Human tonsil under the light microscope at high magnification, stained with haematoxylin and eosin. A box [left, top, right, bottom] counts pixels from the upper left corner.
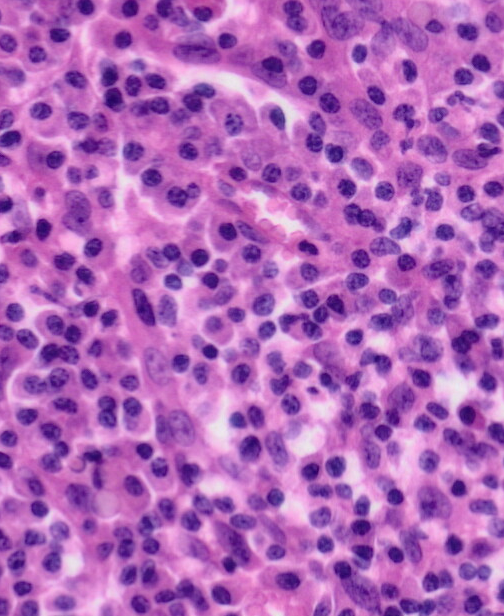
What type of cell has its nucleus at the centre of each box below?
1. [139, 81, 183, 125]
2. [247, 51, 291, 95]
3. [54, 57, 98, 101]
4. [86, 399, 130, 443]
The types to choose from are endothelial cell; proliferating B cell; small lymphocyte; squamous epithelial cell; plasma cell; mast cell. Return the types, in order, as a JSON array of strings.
["plasma cell", "squamous epithelial cell", "plasma cell", "plasma cell"]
